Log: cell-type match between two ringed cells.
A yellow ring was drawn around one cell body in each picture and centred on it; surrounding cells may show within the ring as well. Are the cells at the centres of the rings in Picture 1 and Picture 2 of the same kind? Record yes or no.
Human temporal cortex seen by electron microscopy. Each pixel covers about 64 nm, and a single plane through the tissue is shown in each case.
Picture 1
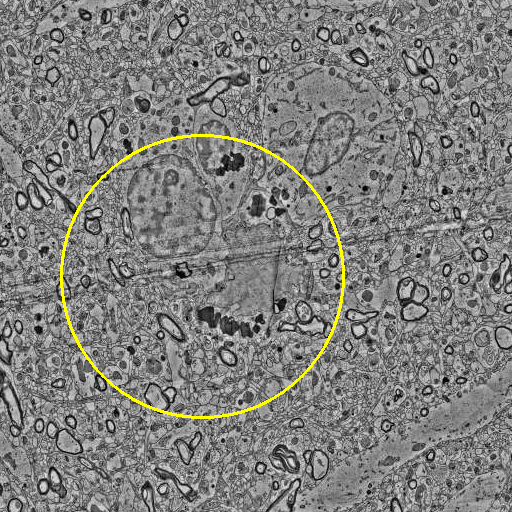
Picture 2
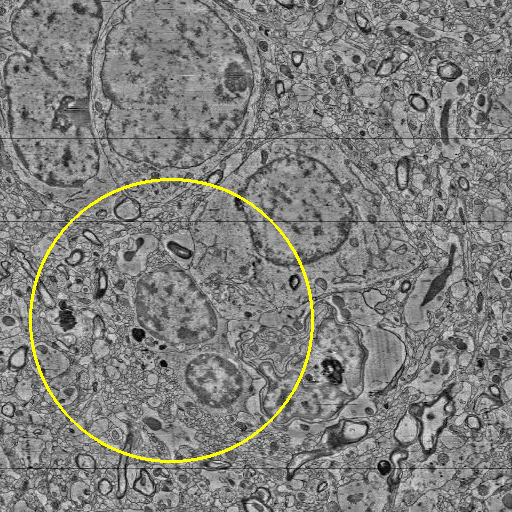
yes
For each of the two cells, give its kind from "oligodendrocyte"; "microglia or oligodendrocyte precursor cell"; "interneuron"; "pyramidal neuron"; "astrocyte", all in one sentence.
Each cell, in the first picture and the second, is an oligodendrocyte.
